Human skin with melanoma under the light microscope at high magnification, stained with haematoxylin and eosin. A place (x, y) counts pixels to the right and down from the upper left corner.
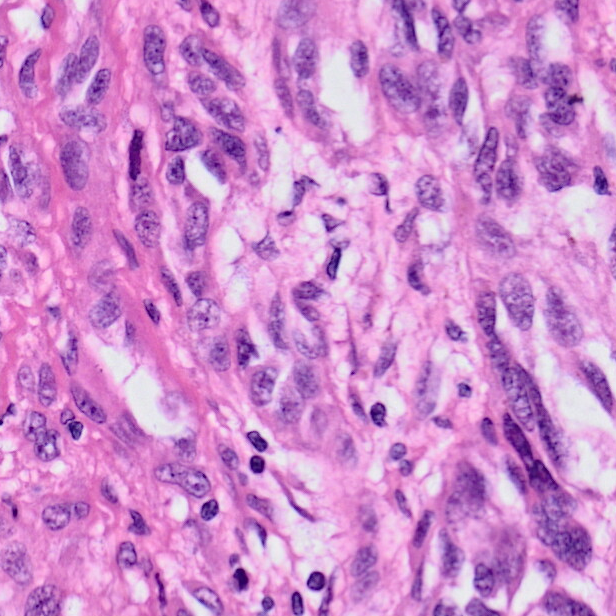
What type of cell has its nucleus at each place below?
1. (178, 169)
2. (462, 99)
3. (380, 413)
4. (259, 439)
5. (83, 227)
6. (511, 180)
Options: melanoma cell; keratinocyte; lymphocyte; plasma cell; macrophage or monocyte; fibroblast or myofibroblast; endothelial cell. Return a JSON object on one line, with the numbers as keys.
{"1": "melanoma cell", "2": "melanoma cell", "3": "lymphocyte", "4": "lymphocyte", "5": "melanoma cell", "6": "melanoma cell"}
